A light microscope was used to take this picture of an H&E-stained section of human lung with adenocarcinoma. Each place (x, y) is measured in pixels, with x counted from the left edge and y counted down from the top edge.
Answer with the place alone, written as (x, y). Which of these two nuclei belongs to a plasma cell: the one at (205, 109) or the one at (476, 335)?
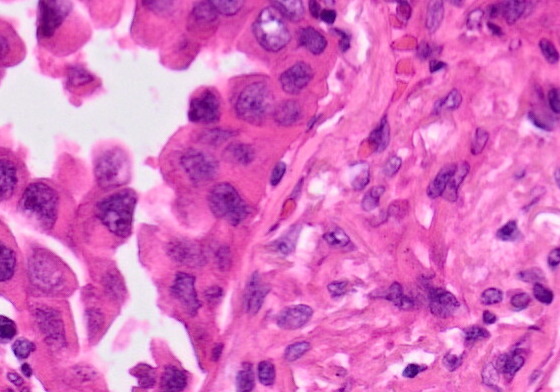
(476, 335)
